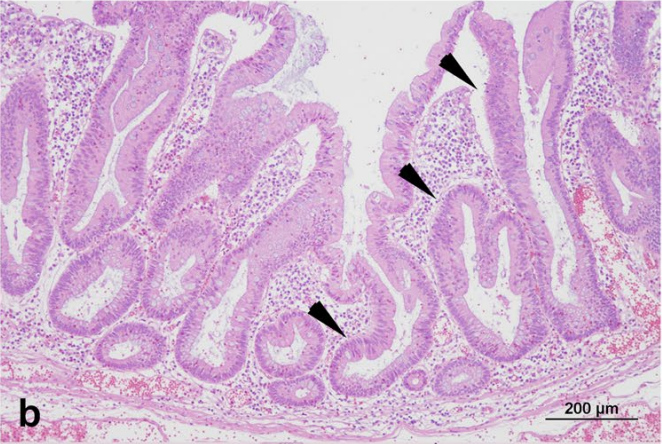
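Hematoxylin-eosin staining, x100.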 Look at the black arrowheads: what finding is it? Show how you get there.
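The marked crypts are lined by a tall, purple-staining epithelium with few goblet cells. Their nuclei are elongated and crowded but stay near the base of the cells. On this evidence: low grade dysplasia.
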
